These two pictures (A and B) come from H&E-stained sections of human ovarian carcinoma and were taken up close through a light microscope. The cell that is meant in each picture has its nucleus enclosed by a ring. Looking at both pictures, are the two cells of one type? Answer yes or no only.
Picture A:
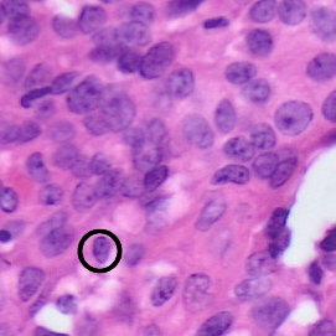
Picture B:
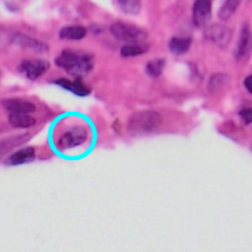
yes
